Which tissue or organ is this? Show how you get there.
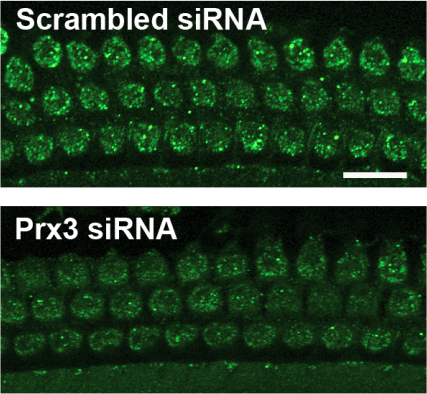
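Three parallel rows of rounded cells seen from the surface. Cells are evenly spaced in a regular mosaic. So: cochlear epithelia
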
